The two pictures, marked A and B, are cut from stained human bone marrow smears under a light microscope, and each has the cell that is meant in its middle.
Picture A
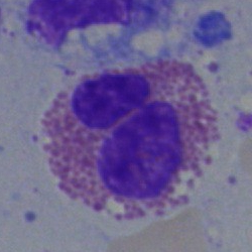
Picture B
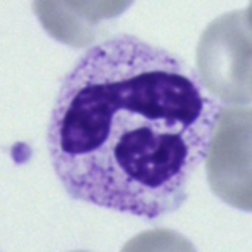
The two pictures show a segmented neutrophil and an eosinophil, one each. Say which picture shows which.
A: eosinophil
B: segmented neutrophil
